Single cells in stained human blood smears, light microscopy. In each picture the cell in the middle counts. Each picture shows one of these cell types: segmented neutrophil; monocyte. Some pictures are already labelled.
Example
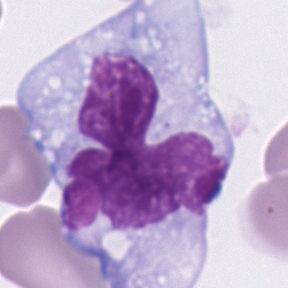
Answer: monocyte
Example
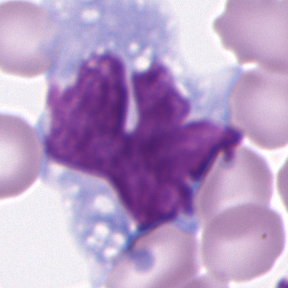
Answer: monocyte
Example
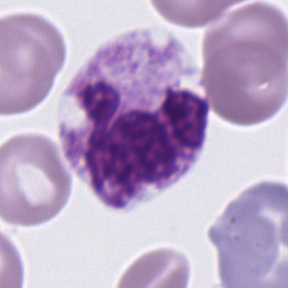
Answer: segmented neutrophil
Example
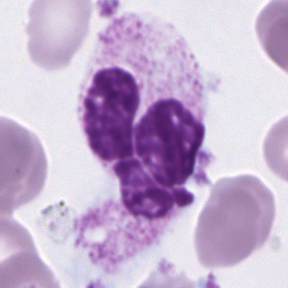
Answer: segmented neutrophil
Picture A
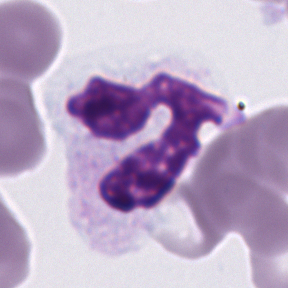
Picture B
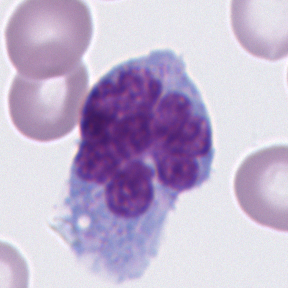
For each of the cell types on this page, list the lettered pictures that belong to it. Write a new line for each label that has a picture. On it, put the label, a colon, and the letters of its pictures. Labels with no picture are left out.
segmented neutrophil: A
monocyte: B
